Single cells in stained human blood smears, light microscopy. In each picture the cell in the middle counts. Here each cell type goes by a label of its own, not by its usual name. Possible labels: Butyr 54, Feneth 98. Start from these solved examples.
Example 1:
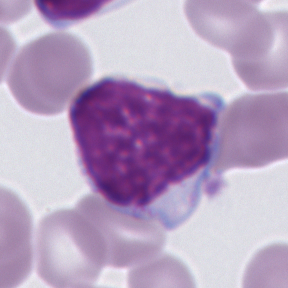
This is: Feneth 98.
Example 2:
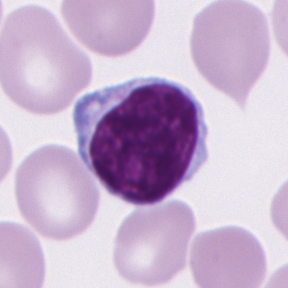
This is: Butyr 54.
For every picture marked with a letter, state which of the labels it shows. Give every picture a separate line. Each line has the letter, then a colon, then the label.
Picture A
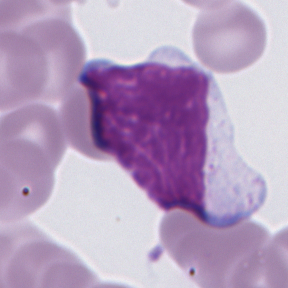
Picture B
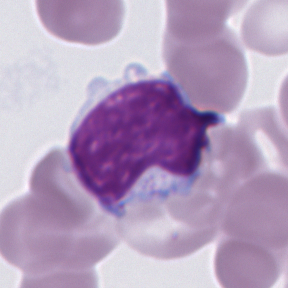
A: Feneth 98.
B: Feneth 98.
